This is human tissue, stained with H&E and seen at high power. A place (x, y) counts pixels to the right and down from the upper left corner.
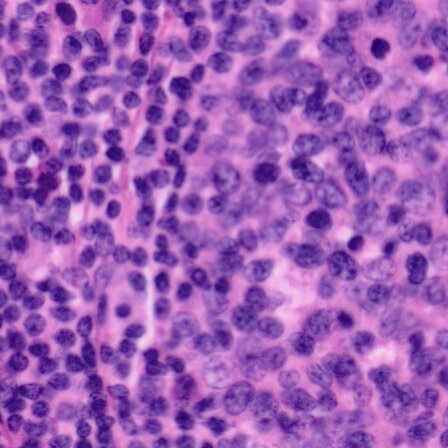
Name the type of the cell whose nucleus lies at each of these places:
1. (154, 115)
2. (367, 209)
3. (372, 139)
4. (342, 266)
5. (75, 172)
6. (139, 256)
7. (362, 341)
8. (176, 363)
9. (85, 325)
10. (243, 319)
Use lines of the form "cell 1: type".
cell 1: small lymphocyte
cell 2: proliferating B cell
cell 3: proliferating B cell
cell 4: proliferating B cell
cell 5: small lymphocyte
cell 6: small lymphocyte
cell 7: proliferating B cell
cell 8: proliferating B cell
cell 9: small lymphocyte
cell 10: proliferating B cell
